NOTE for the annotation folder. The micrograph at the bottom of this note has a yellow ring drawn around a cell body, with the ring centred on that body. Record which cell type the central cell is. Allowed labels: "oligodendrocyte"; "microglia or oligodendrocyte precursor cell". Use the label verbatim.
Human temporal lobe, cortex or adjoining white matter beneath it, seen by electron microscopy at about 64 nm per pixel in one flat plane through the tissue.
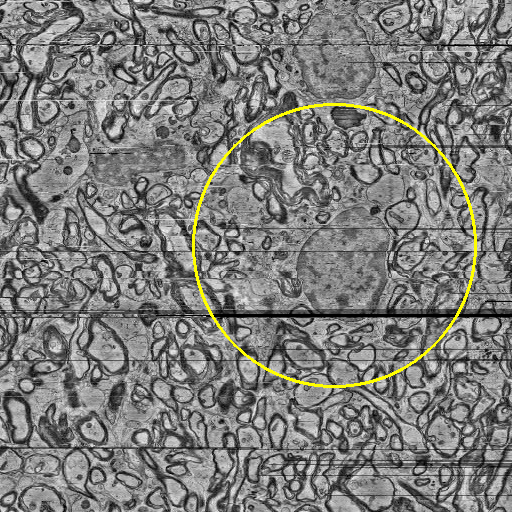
microglia or oligodendrocyte precursor cell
